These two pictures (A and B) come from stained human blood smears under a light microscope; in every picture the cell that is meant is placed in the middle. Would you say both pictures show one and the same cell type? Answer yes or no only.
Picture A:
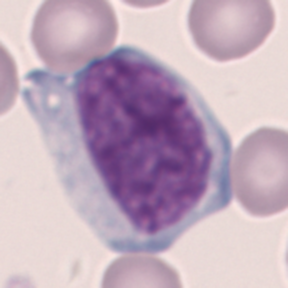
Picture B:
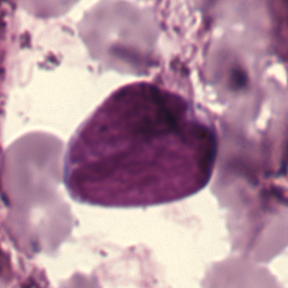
yes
